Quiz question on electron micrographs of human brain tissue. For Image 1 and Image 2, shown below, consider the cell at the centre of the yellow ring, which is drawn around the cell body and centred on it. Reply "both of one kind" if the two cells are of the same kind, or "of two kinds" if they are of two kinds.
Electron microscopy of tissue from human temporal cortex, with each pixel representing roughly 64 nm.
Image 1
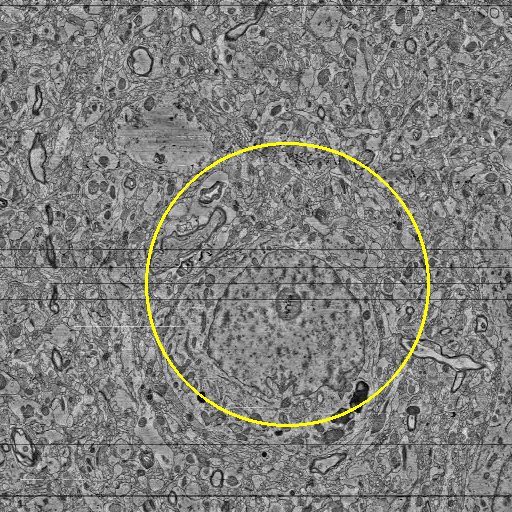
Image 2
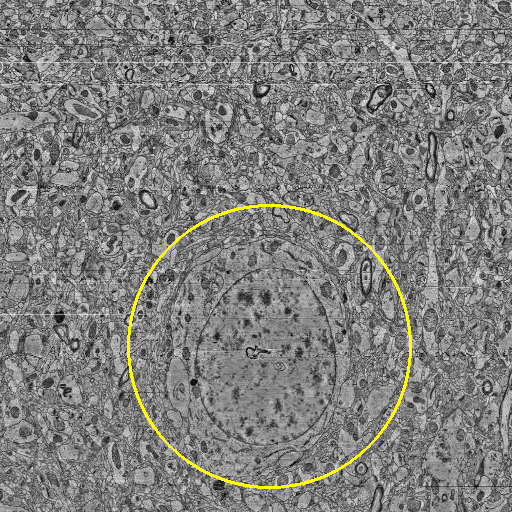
of two kinds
